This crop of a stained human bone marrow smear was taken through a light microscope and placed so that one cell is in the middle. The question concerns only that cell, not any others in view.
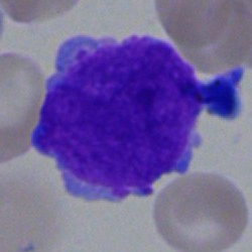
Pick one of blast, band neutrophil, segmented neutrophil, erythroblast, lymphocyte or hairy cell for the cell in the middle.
blast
